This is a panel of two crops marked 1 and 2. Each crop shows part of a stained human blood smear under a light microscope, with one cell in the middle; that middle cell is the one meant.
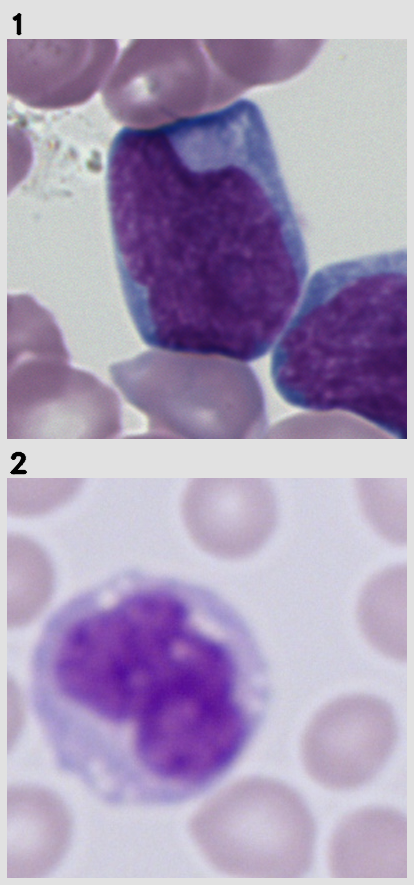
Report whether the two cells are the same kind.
no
